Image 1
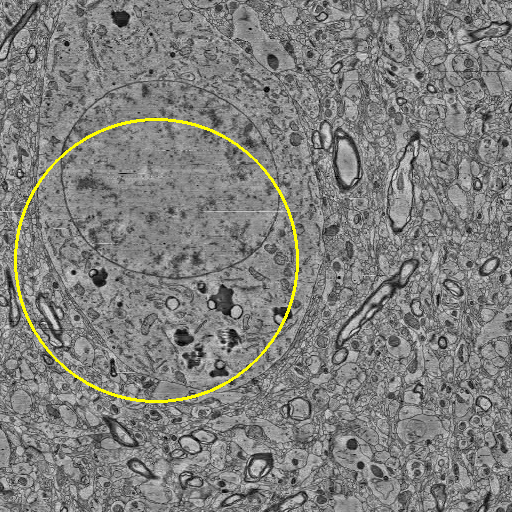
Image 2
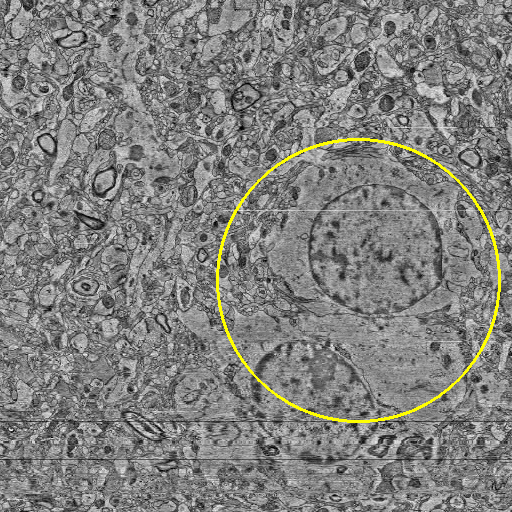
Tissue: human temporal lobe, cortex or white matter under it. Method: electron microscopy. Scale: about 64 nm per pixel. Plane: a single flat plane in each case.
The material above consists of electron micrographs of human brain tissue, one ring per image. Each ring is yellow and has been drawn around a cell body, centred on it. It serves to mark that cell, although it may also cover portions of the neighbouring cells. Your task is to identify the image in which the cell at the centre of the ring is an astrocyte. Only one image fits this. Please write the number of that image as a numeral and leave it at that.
2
